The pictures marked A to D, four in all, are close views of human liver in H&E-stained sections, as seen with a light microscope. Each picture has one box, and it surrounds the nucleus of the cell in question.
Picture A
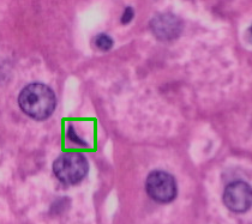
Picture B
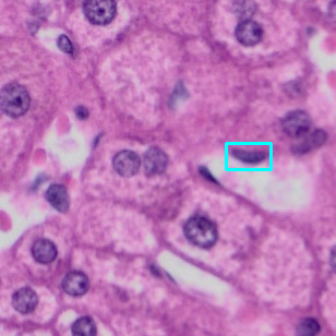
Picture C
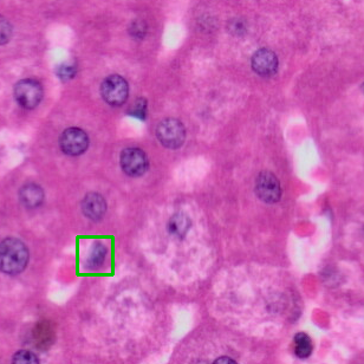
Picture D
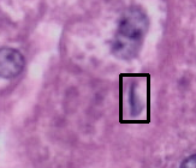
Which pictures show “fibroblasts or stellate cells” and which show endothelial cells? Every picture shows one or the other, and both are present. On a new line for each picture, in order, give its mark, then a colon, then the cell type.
A: endothelial cell
B: fibroblast or stellate cell
C: endothelial cell
D: endothelial cell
